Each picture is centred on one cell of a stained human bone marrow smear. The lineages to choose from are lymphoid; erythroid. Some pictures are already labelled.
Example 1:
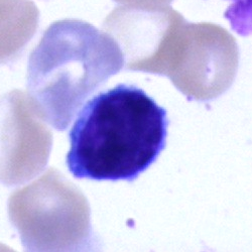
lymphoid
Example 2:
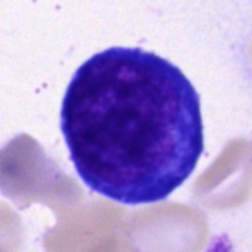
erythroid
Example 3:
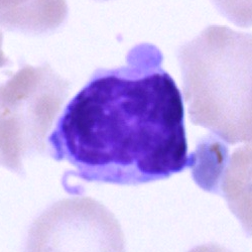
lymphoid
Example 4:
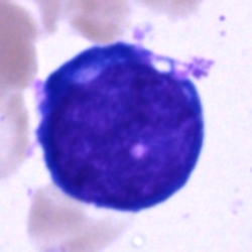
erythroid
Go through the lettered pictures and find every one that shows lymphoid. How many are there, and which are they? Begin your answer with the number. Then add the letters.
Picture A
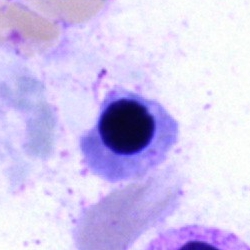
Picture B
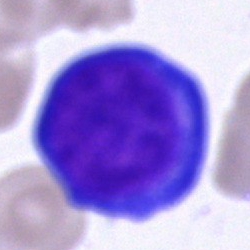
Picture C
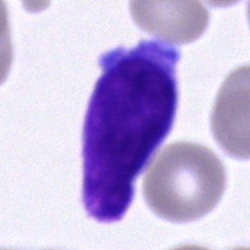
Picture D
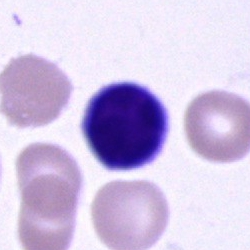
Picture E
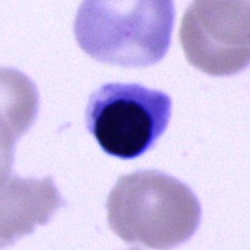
2: C, D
